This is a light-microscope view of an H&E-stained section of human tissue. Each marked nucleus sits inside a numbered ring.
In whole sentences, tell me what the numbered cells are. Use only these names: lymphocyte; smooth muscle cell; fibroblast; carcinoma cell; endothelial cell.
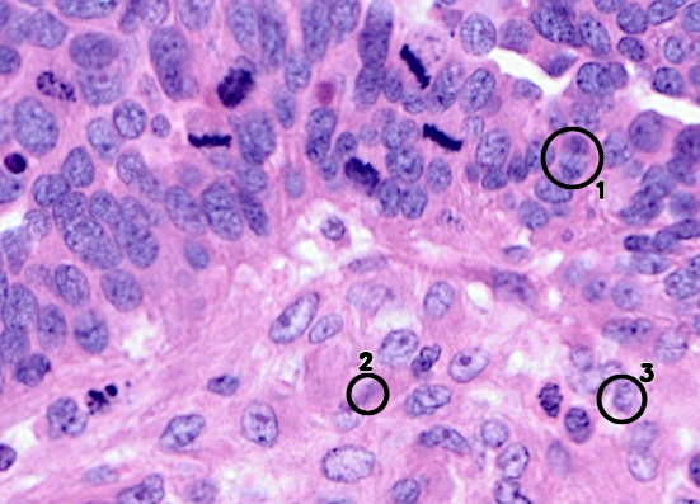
Cell 1 is a carcinoma cell, cell 2 is a fibroblast and cell 3 is a fibroblast.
